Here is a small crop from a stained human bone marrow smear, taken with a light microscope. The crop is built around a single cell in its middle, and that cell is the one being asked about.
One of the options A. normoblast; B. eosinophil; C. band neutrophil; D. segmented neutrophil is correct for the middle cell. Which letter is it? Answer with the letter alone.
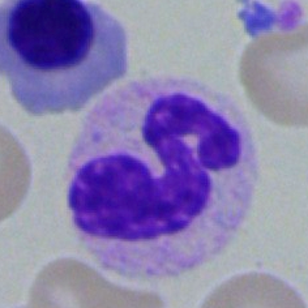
D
